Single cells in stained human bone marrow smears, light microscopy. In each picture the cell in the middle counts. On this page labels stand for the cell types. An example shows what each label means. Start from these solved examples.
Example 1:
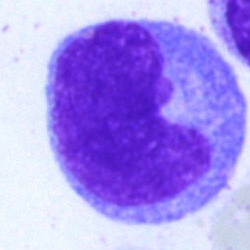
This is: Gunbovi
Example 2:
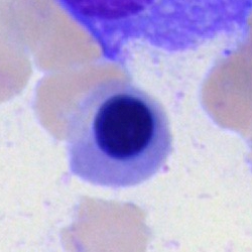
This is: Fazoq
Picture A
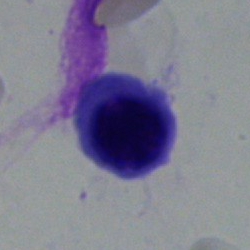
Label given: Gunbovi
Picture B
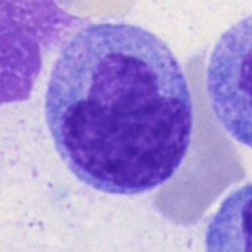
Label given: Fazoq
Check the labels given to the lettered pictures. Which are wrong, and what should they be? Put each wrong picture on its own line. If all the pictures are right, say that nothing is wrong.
A: change Gunbovi to Fazoq
B: change Fazoq to Gunbovi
